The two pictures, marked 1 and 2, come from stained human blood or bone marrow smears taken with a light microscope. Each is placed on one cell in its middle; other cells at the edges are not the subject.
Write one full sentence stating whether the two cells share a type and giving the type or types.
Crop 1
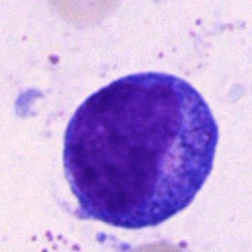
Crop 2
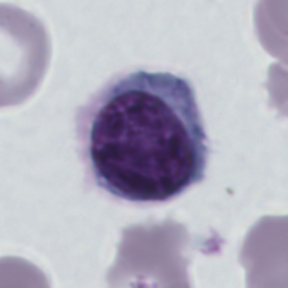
No, in crop 1 there is a promyelocyte, and in crop 2 there is a plasma cell.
